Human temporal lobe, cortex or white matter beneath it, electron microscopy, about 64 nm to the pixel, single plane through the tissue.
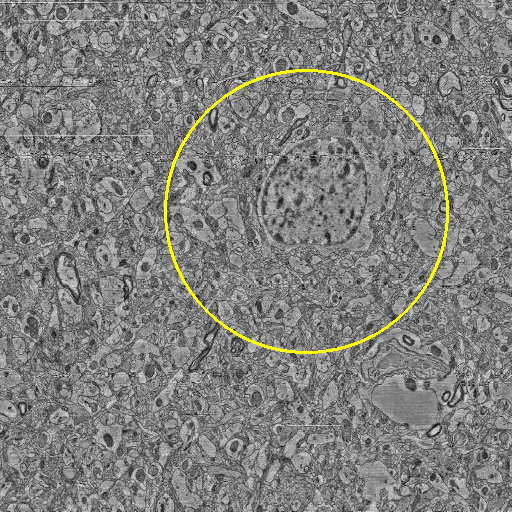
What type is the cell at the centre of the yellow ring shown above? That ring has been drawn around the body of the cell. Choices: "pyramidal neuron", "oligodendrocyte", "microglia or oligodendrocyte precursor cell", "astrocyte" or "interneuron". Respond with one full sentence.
My answer is that a microglial cell or oligodendrocyte precursor cell lies at the centre of the yellow ring above.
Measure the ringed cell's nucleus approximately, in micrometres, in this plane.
In this plane, approximately 8 by 7 micrometers.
